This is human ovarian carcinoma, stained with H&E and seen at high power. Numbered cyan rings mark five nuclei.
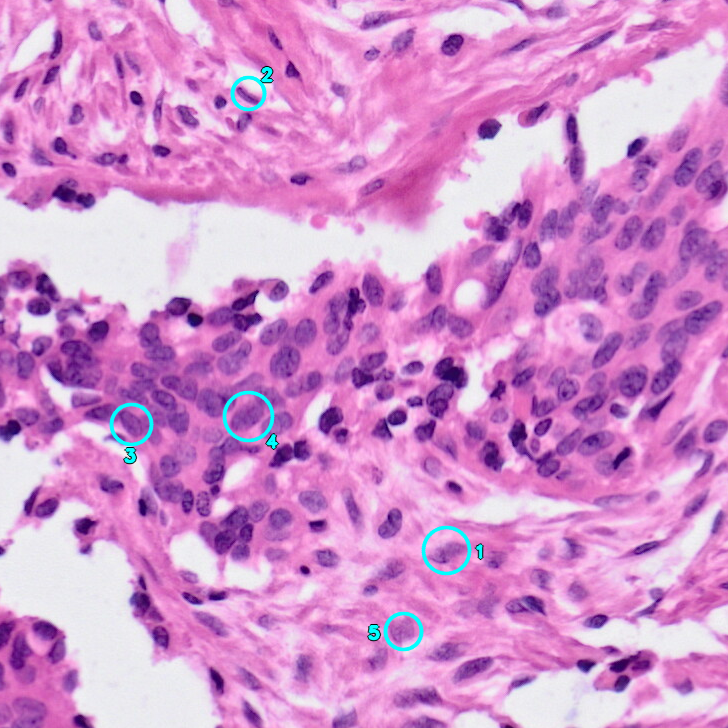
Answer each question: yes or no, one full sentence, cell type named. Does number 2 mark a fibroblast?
Yes, the marked cell with number 2 is a fibroblast.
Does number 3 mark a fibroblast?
No, number 3 is assigned to a carcinoma cell, not to a fibroblast.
